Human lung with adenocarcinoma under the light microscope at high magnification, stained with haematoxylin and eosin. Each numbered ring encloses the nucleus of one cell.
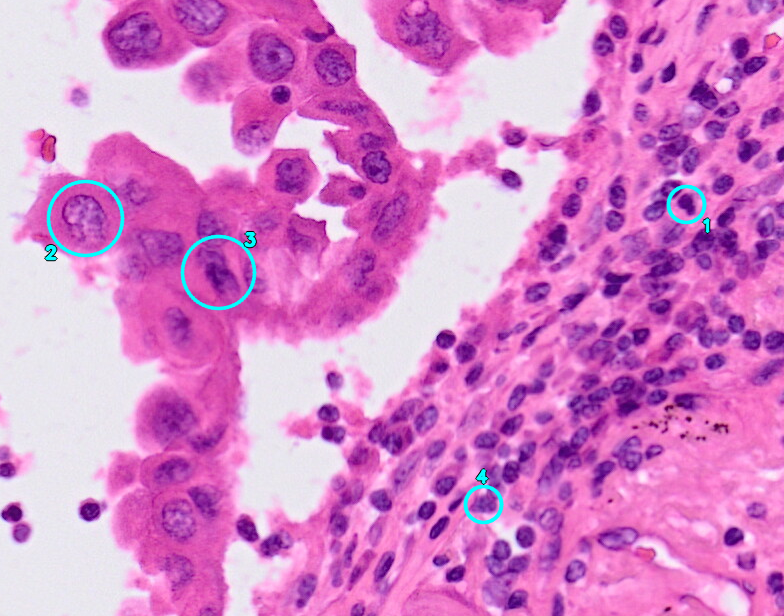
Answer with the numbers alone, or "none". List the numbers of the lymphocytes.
1, 4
